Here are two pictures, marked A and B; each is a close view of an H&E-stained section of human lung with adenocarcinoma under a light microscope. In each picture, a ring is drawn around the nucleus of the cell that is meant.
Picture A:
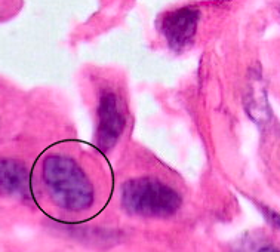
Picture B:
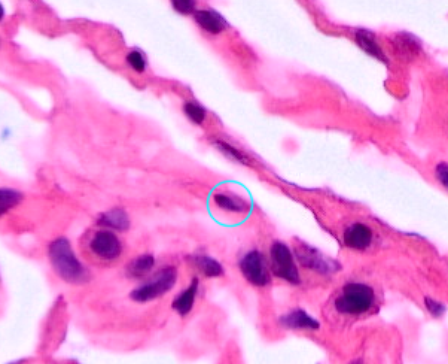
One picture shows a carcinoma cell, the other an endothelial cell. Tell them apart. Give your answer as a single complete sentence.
Picture B shows an endothelial cell, while picture A shows a carcinoma cell.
